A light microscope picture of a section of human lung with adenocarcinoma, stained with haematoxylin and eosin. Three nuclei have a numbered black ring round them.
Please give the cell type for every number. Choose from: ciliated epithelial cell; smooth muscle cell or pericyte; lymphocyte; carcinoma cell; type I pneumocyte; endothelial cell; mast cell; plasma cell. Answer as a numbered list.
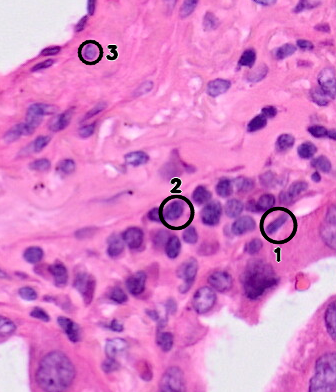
1. lymphocyte
2. lymphocyte
3. smooth muscle cell or pericyte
